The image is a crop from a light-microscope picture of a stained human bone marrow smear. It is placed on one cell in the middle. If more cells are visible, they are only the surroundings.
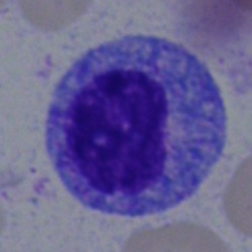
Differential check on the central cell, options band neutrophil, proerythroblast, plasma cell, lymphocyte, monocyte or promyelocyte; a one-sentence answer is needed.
In short, the cell at the center is a promyelocyte.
